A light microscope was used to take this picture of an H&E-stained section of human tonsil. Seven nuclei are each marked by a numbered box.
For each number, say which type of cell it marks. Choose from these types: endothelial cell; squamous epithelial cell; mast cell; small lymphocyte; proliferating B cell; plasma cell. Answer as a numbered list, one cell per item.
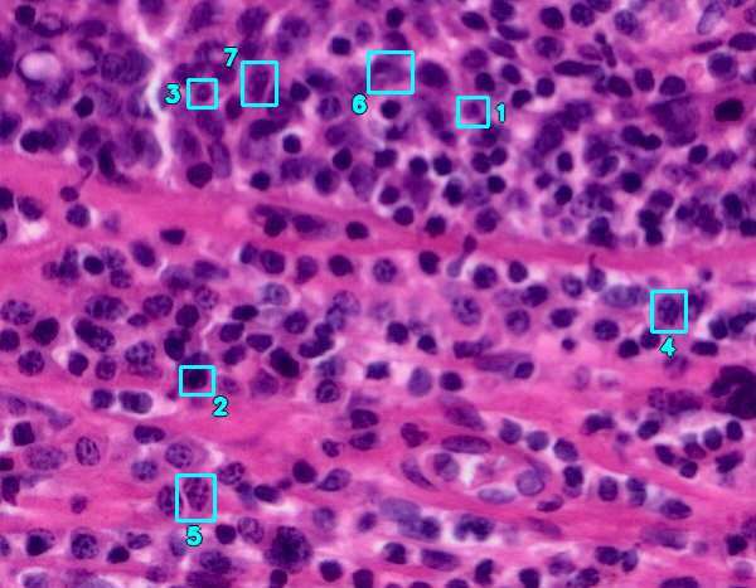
1. squamous epithelial cell
2. plasma cell
3. squamous epithelial cell
4. plasma cell
5. plasma cell
6. squamous epithelial cell
7. squamous epithelial cell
